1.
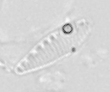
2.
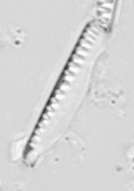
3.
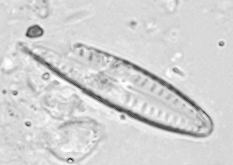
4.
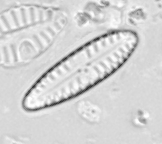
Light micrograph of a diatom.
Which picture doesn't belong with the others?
Picture 1.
